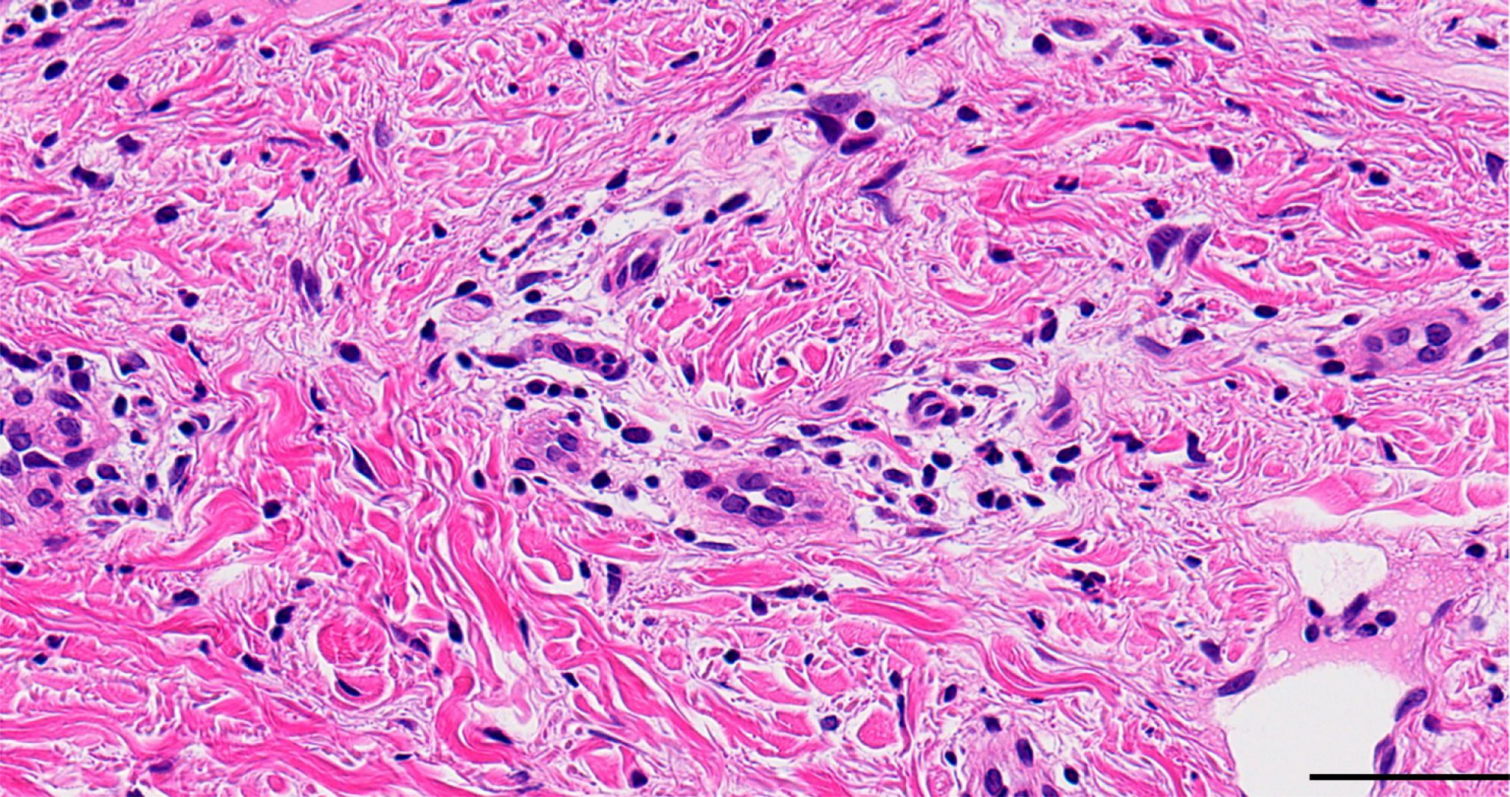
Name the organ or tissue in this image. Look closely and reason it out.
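Dermis. Wavy, bright pink collagen bundles fill most of the field and run in several directions. Small blood vessels are scattered in the connective tissue. No epithelial surface layer is present in the field.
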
